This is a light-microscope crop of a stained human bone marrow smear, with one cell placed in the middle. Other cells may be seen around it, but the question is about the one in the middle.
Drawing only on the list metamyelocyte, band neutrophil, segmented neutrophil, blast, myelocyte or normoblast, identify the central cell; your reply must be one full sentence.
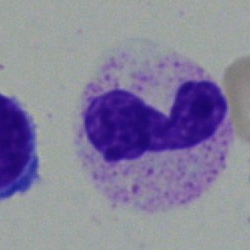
The cell centered in this field of view is a band neutrophil.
